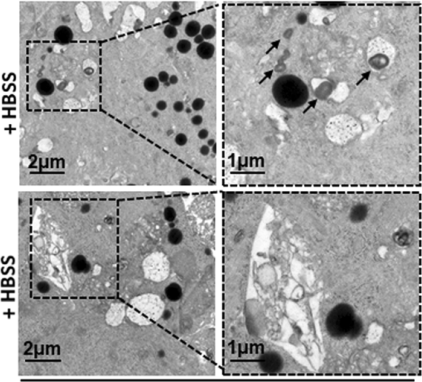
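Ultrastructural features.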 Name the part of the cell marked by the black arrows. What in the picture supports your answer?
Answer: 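The arrows point to small round vesicles in the cytoplasm. The marked vesicles contain dark material.
Autophagosomes.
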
